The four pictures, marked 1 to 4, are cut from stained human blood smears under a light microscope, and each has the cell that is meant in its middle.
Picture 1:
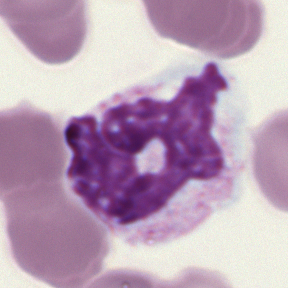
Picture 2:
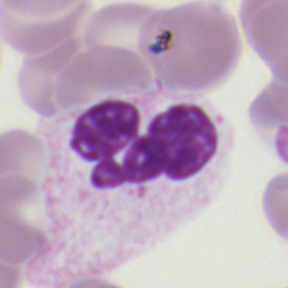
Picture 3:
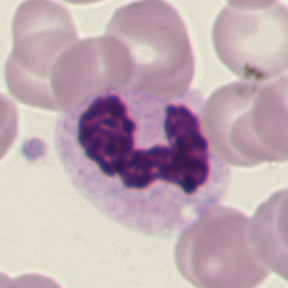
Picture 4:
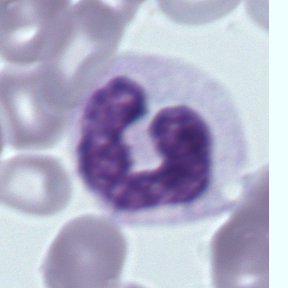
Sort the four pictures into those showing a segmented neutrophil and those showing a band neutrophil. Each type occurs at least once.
1: segmented neutrophil
2: segmented neutrophil
3: segmented neutrophil
4: band neutrophil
